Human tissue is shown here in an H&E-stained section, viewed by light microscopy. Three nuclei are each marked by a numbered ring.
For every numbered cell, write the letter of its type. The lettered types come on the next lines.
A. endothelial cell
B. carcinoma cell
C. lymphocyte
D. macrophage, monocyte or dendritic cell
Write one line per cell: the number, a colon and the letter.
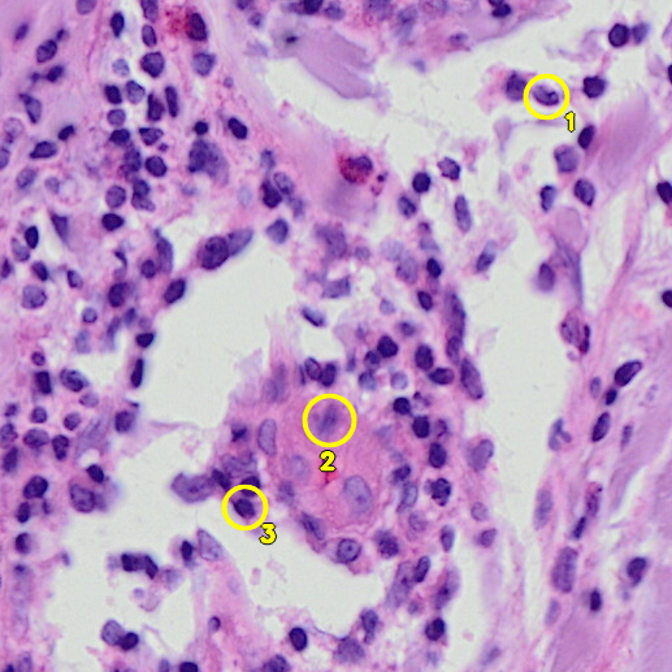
1: C
2: A
3: C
